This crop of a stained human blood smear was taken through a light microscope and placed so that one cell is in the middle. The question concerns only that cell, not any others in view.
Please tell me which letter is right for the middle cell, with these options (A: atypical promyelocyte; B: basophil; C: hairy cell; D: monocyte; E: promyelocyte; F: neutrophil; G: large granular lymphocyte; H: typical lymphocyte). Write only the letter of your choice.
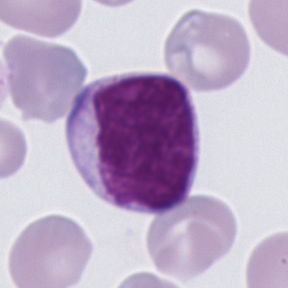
G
